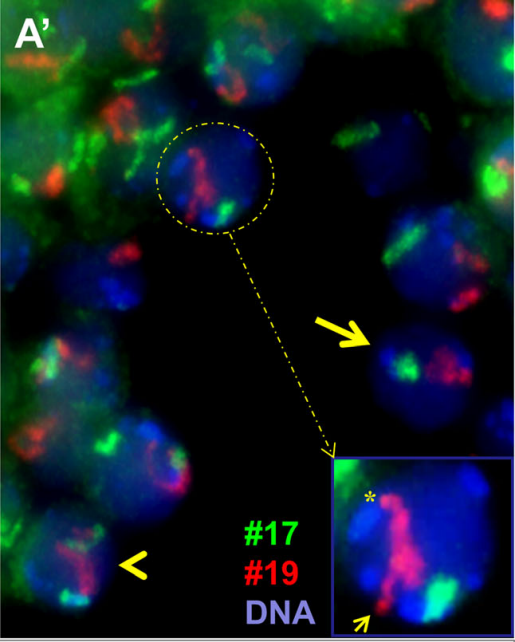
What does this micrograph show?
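Within the nuclei, elongated green and red painted chromosome territories stand out as threads or compact blobs. In some nuclei each colour forms a single domain, in others a colour appears as two separate domains. In the enlarged nucleus the red territory forms a long beaded thread, one end touching a bright blue chromatin patch and another end reaching a small red spot at the nuclear rim, while the green forms one compact block.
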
